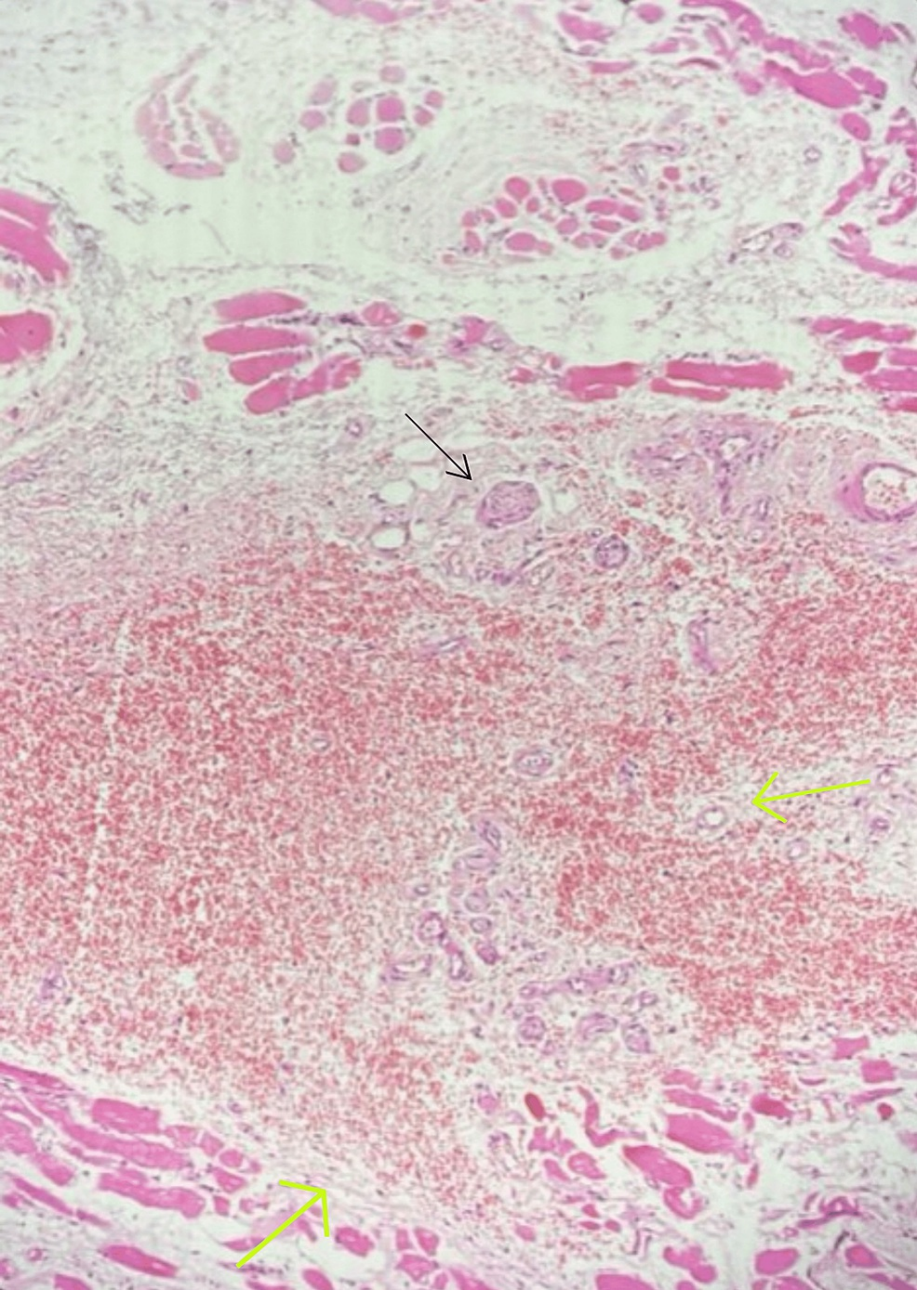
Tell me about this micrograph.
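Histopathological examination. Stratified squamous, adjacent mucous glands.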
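A subepithelial vascular lesion with hemorrhage is shown. Its centre is a broad, loosely bounded field of densely packed, free red blood cells lying outside vessel walls. Scattered through this field are many small, round, thin-walled vessel profiles, some grouped in clusters with pale pink walls and small flattened nuclei. Near the upper edge of the lesion, a few empty, round fat-like spaces sit beside small rounded structures with pinkish cores. Above and below, the lesion borders bundles of bright pink, elongated and cross-cut skeletal muscle fibres set in pale, loose connective tissue.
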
